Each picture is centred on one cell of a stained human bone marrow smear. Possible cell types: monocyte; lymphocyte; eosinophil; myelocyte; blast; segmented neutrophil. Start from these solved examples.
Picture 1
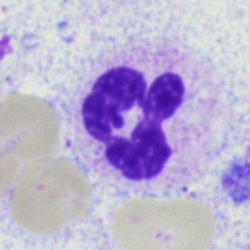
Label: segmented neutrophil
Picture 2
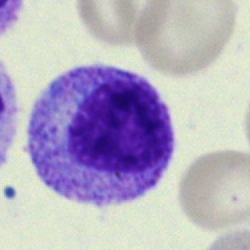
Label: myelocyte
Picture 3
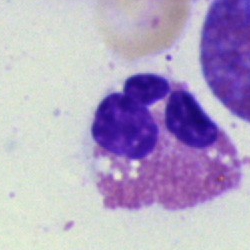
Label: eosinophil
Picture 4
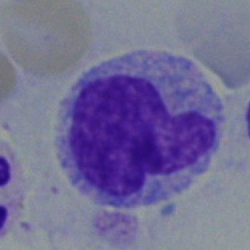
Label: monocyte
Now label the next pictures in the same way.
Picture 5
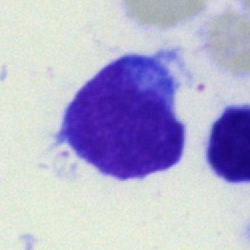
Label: blast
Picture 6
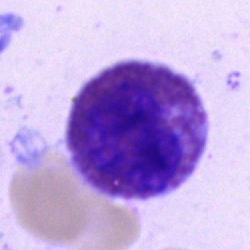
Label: eosinophil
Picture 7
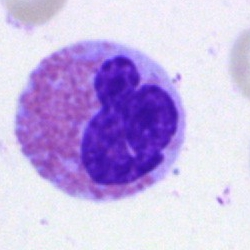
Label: eosinophil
